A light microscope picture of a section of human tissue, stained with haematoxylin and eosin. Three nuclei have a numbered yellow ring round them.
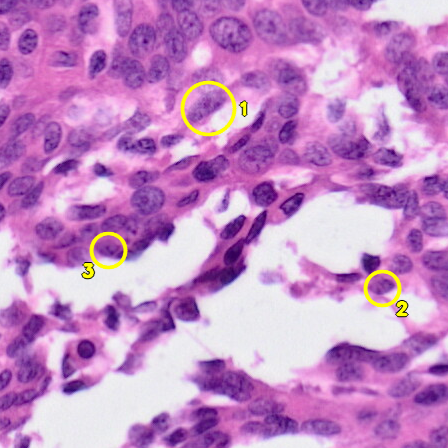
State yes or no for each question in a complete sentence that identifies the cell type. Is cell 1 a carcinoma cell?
Yes, the cell that number 1 points to is a carcinoma cell.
